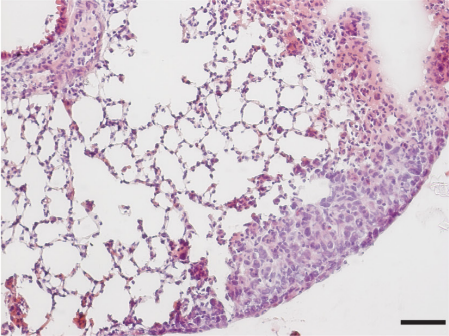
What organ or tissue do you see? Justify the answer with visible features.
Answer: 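Lung. Thin-walled air spaces fill most of the panel. Delicate septa with scattered nuclei separate the empty spaces. Part of an airway or vessel wall lies at the upper left.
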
